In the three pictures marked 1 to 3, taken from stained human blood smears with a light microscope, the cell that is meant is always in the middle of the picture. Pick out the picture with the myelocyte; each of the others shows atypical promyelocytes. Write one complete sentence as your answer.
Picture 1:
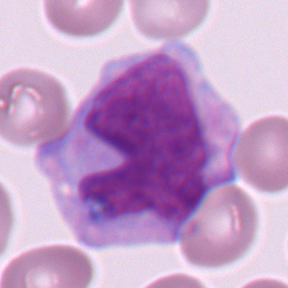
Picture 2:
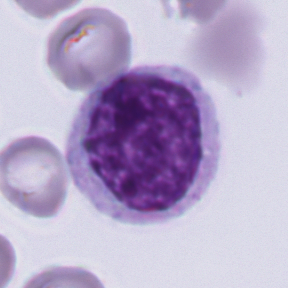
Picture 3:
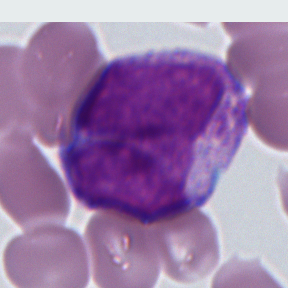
Picture 2 shows the myelocyte.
